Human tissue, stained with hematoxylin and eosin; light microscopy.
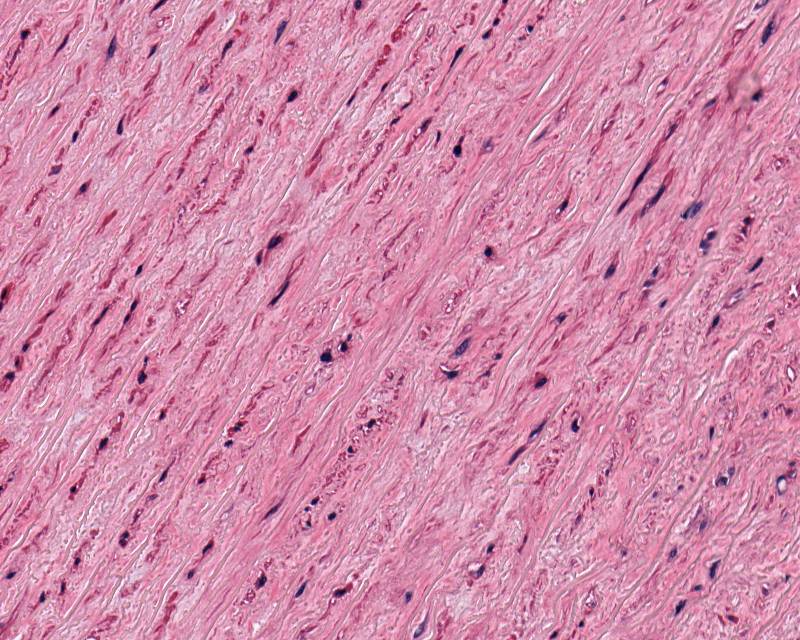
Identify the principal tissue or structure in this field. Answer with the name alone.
tunica media of an artery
